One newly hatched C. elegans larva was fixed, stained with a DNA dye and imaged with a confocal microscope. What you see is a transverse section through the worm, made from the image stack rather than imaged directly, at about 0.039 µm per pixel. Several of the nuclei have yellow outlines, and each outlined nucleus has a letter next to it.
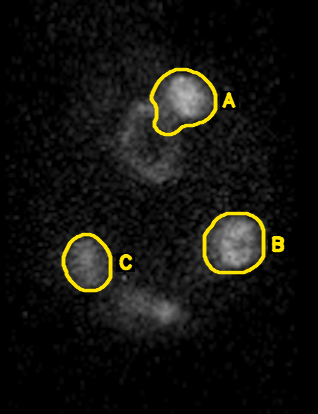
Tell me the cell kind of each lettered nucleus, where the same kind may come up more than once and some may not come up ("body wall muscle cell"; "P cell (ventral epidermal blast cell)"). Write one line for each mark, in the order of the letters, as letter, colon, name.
A: body wall muscle cell
B: P cell (ventral epidermal blast cell)
C: P cell (ventral epidermal blast cell)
